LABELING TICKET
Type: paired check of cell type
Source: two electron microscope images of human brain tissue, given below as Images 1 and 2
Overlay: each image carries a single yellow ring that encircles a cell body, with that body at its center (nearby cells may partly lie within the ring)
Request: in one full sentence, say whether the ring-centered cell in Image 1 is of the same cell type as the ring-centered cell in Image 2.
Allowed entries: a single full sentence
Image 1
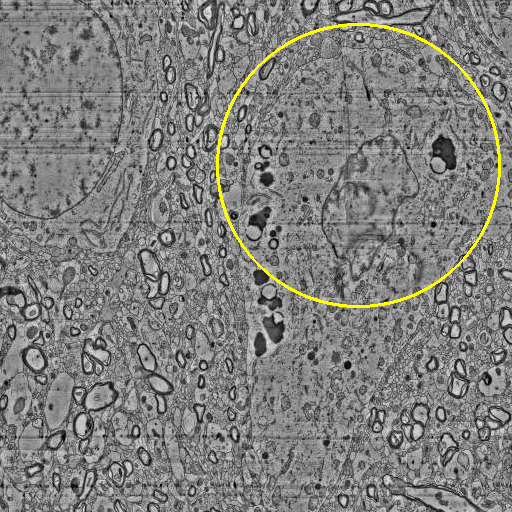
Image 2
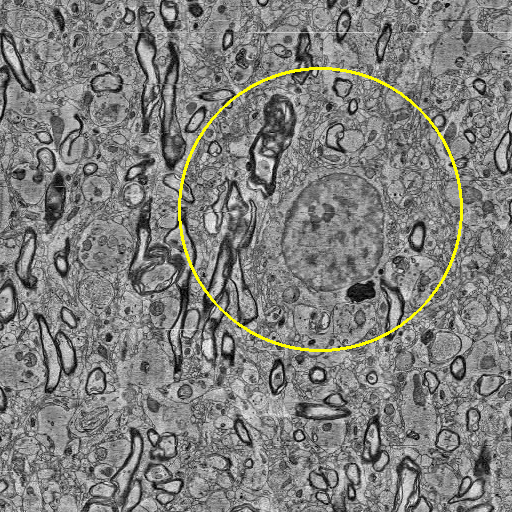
No, the cells centered in the rings of Image 1 and Image 2 are of two types.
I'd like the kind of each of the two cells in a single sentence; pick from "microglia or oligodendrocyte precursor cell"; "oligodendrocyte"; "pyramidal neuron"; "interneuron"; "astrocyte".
The first ring marks a pyramidal neuron, and the second ring marks an oligodendrocyte.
